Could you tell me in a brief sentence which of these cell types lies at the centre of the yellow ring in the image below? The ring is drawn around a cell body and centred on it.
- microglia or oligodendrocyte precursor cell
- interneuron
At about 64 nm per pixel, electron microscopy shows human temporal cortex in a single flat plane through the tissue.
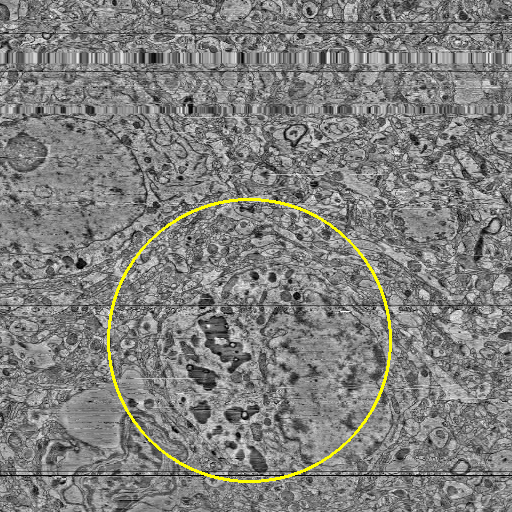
The cell centred in the ring is an interneuron.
